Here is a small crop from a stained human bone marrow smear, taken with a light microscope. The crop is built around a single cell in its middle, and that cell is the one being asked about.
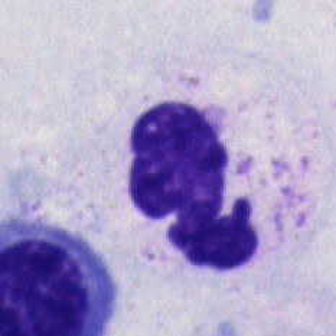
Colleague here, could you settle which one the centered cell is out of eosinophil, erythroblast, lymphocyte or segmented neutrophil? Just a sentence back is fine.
In short, the cell at the center is a segmented neutrophil.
